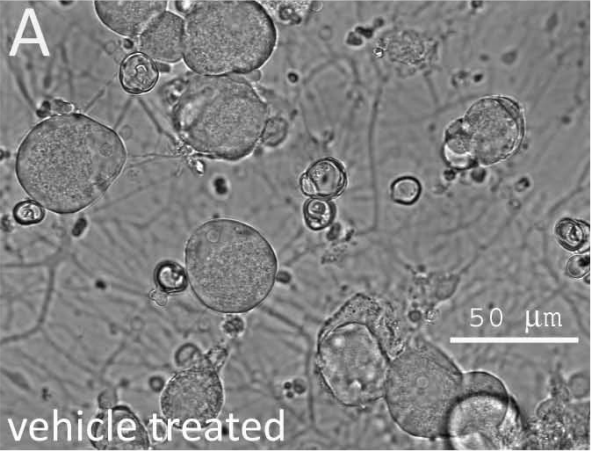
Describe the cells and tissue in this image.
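The cell bodies have a finely granular cytoplasm and a sharp, smooth outline, some lying singly and some pressed together in pairs or small groups. A web of thin, branching neurites crosses the background and links the cell bodies. Much smaller round, bright-rimmed cells lie among the neurons, often close beside them.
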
